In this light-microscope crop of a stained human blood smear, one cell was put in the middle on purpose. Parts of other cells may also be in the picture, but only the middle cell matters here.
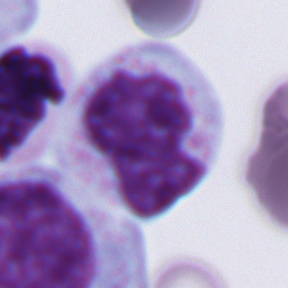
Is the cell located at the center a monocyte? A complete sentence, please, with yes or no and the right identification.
No, the centre of the crop is taken up by a band neutrophil, not a monocyte.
